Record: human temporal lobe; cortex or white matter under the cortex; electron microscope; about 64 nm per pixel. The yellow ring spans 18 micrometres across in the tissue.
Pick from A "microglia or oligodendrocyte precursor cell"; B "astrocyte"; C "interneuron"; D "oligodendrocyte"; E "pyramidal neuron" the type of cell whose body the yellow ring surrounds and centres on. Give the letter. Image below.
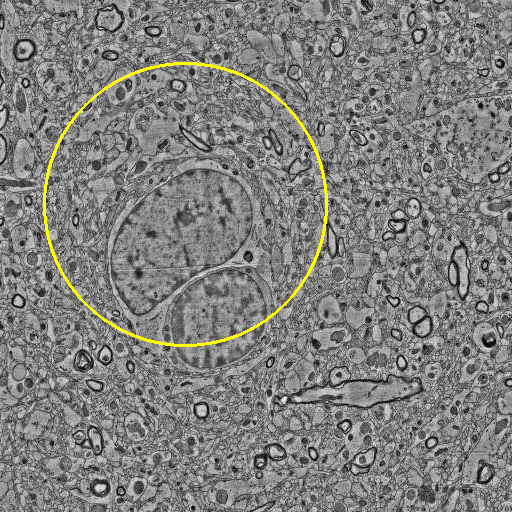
A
